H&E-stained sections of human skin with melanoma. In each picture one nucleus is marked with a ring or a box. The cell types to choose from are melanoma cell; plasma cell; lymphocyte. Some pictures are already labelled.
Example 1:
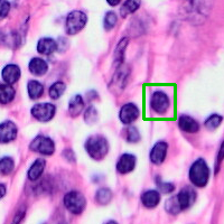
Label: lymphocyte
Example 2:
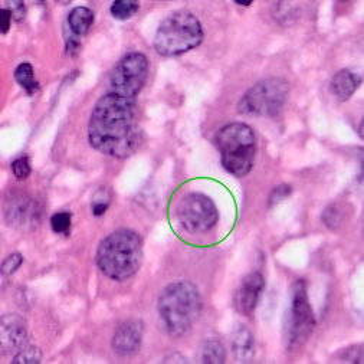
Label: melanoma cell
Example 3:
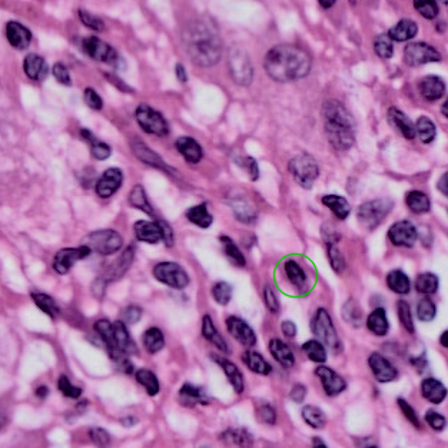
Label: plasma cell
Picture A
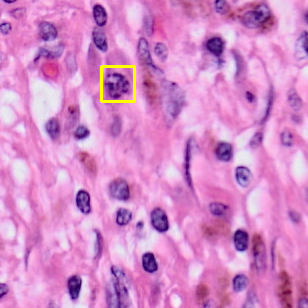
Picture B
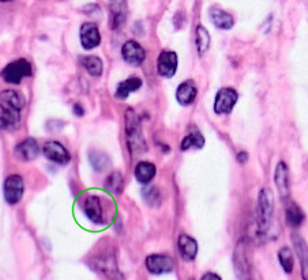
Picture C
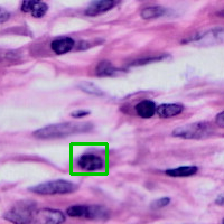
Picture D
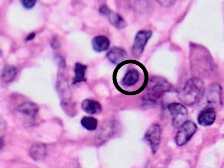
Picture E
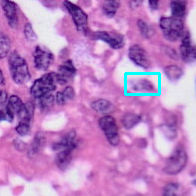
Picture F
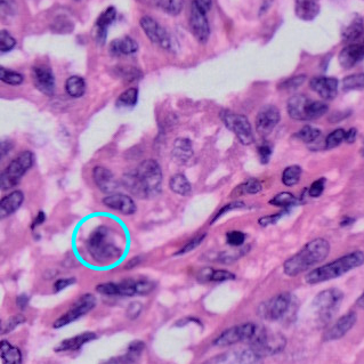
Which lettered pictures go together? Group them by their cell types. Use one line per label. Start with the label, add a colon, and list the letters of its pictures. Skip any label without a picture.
melanoma cell: E, F
plasma cell: A, B, C
lymphocyte: D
